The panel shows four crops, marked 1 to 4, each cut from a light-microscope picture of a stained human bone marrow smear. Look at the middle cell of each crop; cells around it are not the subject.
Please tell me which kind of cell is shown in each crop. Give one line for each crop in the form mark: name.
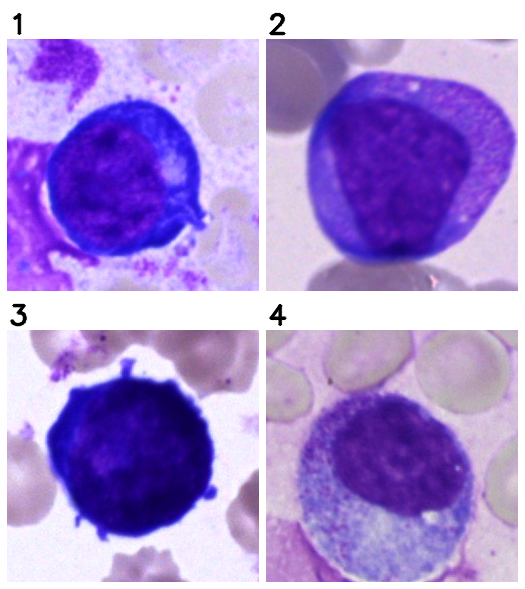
1: proerythroblast
2: promyelocyte
3: proerythroblast
4: promyelocyte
